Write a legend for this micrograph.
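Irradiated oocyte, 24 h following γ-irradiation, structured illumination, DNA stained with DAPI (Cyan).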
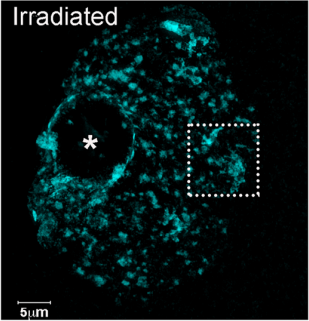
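The rest of the nucleus is filled with many irregular, patchy cyan clusters and speckles rather than a few compact bright foci. A dotted box at the right encloses a loose, diffuse cluster of cyan chromatin with fibrous strands and gaps between brighter patches.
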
